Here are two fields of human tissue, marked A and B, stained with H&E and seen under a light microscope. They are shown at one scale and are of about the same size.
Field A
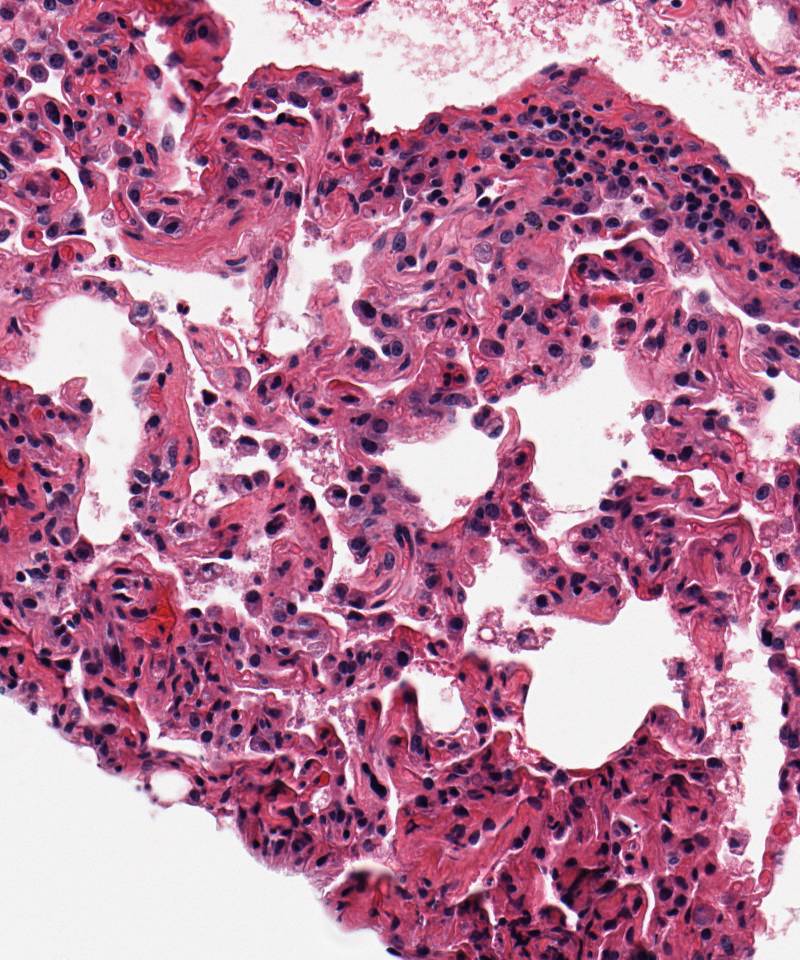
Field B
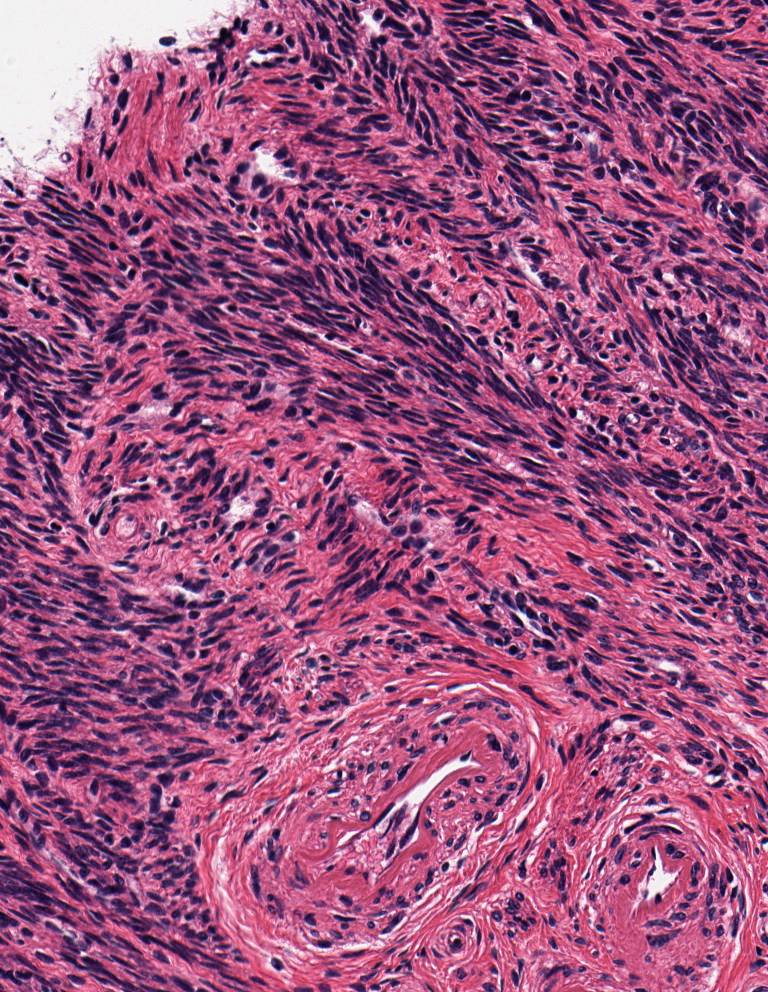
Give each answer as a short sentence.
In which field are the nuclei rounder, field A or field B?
It is field A whose nuclei are the rounder.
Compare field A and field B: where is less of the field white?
Unstained space takes up less of field B than of field A.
